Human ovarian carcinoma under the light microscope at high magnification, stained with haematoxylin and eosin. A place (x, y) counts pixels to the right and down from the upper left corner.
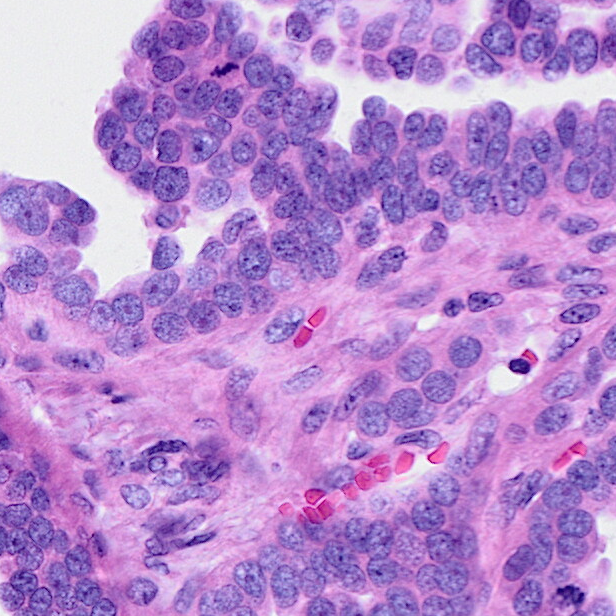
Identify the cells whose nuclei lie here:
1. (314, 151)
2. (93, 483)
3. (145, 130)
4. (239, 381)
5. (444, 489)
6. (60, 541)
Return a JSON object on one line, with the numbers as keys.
{"1": "carcinoma cell", "2": "fibroblast", "3": "carcinoma cell", "4": "fibroblast", "5": "carcinoma cell", "6": "carcinoma cell"}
